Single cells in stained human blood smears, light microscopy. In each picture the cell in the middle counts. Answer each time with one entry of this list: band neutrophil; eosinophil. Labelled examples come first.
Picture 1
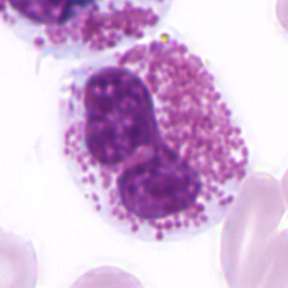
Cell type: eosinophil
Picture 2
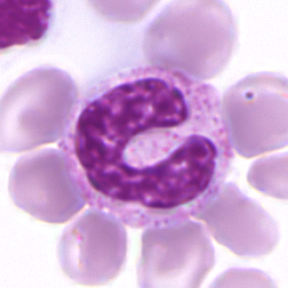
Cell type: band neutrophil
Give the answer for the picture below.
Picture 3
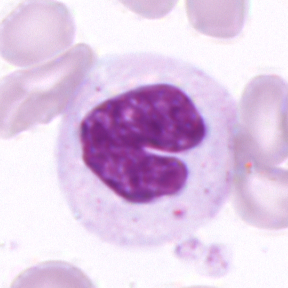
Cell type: band neutrophil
